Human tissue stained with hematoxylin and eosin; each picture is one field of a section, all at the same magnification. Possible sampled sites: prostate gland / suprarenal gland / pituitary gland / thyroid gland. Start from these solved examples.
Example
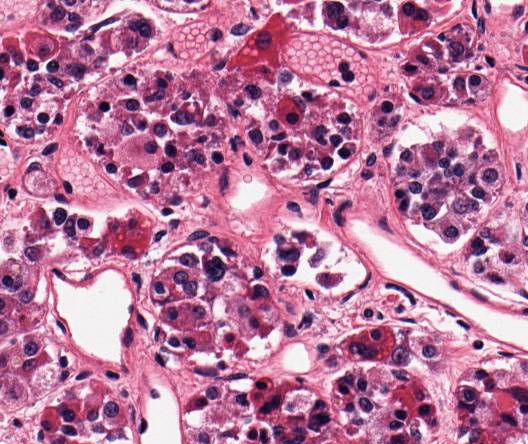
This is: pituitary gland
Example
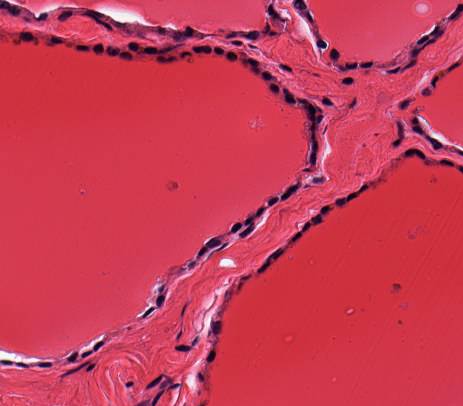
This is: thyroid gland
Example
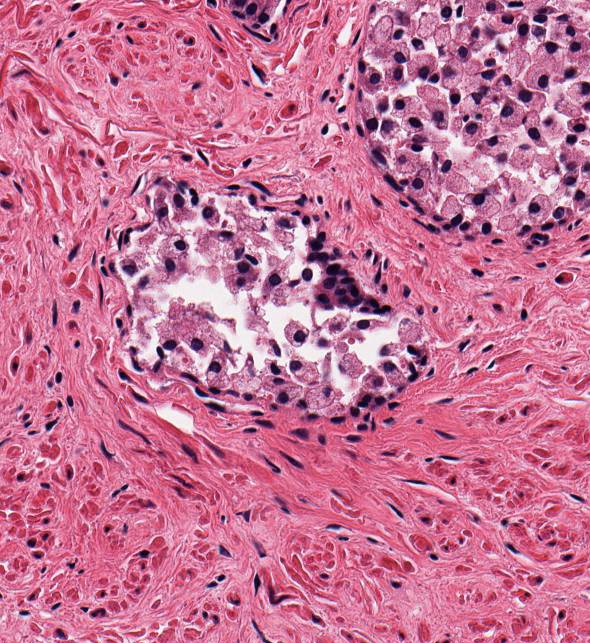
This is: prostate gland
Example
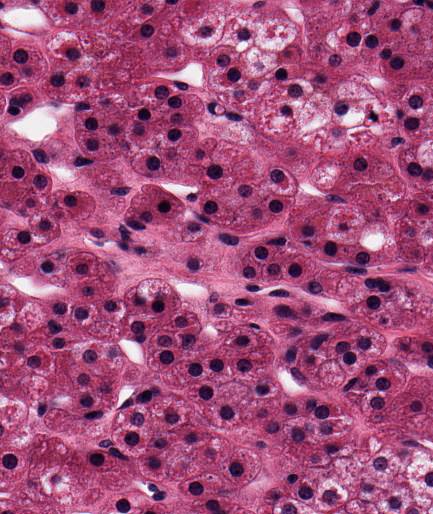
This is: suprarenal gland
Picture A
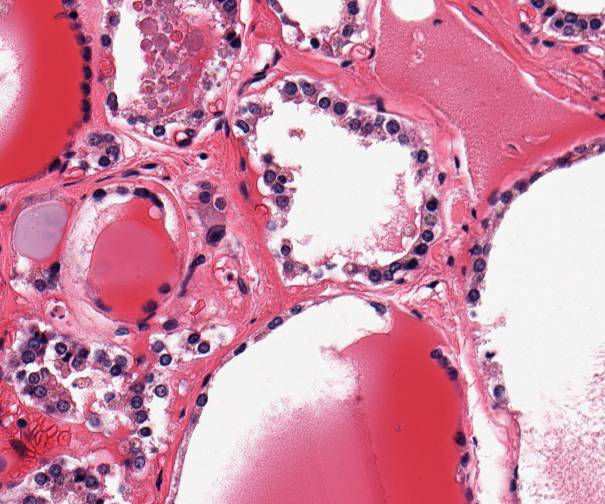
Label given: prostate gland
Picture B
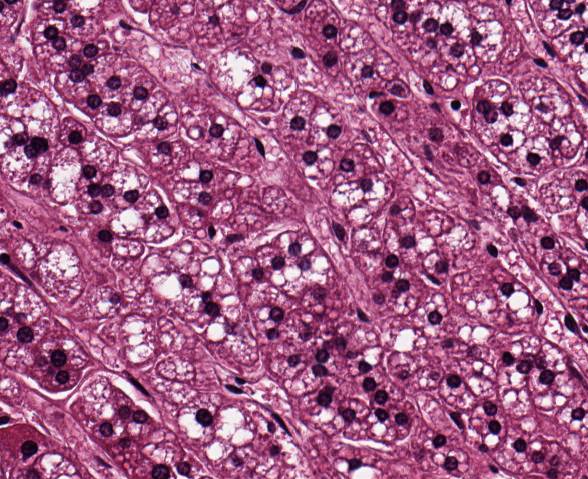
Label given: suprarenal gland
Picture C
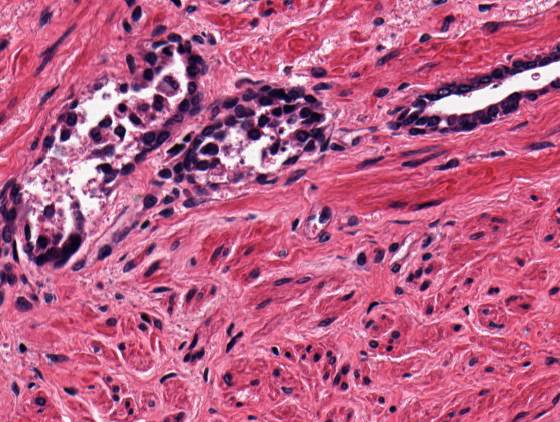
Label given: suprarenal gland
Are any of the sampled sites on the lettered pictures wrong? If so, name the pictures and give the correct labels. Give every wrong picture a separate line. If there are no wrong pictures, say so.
A: thyroid gland, not prostate gland
C: prostate gland, not suprarenal gland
